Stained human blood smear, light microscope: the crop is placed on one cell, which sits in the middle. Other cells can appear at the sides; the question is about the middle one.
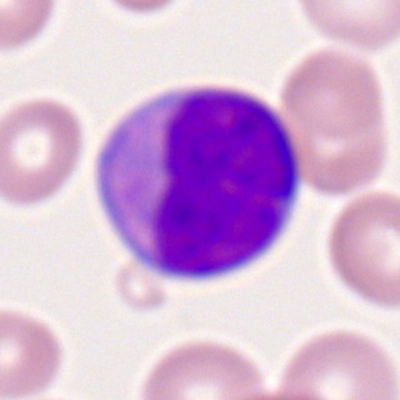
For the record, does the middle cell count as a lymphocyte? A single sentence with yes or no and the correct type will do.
No, the cell in the centre of the crop is a myeloblast as opposed to a lymphocyte.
